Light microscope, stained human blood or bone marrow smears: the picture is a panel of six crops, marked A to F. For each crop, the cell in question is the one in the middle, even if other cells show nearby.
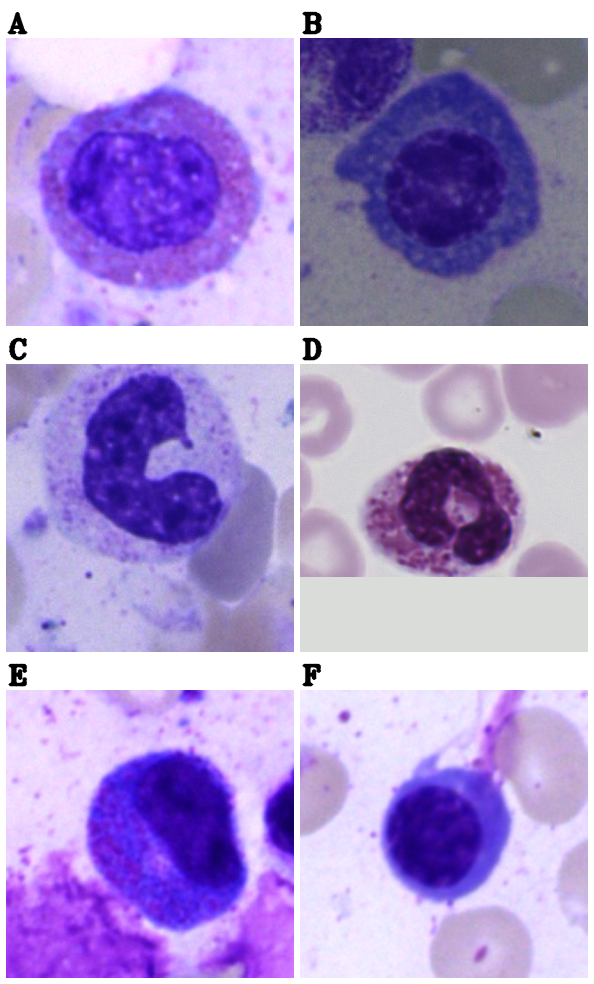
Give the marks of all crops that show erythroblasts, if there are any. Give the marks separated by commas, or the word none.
F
